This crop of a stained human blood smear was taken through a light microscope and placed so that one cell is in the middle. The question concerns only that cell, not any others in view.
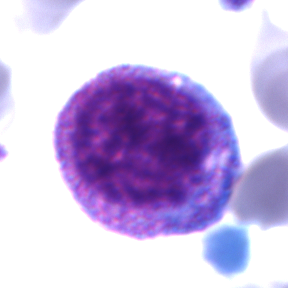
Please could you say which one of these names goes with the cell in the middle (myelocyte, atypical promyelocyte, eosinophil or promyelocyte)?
promyelocyte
